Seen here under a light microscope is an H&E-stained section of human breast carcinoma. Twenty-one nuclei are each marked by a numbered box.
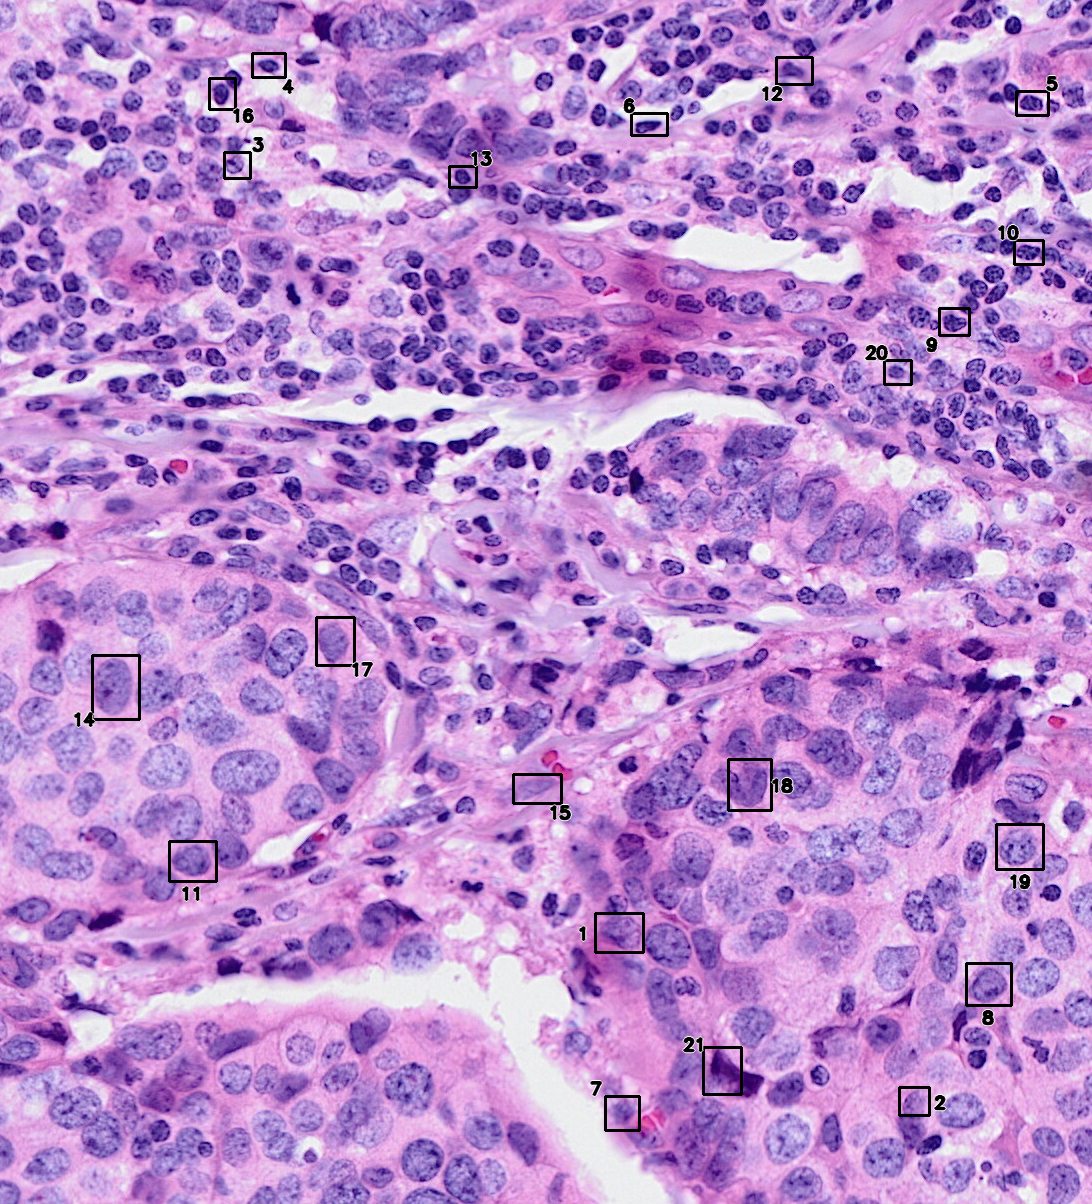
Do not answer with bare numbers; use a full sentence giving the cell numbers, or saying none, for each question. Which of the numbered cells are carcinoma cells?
The cells bearing the numbers 1, 2, 8, 11, 14, 17, 18, 19 and 21 are carcinoma cells.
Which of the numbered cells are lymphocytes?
Classified as lymphocytes are the cells numbered 3, 4, 5, 6, 9, 10, 12, 13, 16 and 20.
